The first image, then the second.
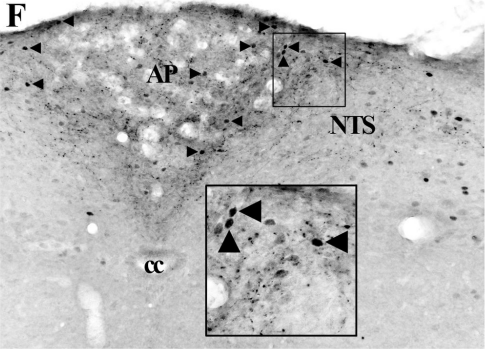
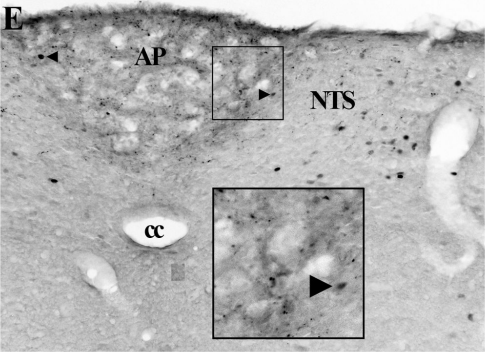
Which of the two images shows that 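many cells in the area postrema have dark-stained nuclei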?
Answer: The first image.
